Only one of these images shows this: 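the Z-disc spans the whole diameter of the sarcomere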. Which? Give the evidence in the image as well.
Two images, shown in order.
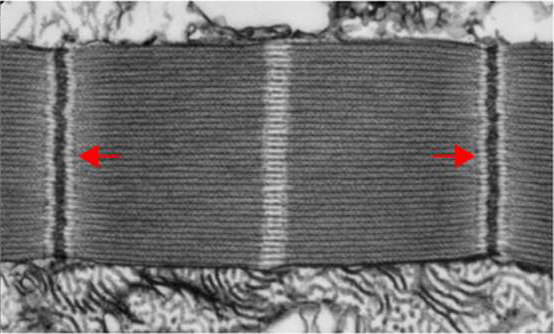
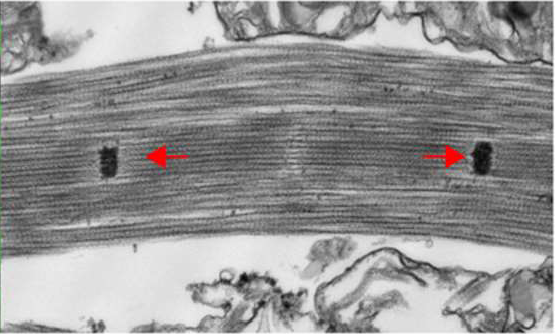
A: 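The first image. Second image: the dark dense structures are small clumps in the middle of the filament bundle. First image: dark dense bands cross the full width of the filament bundle.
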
